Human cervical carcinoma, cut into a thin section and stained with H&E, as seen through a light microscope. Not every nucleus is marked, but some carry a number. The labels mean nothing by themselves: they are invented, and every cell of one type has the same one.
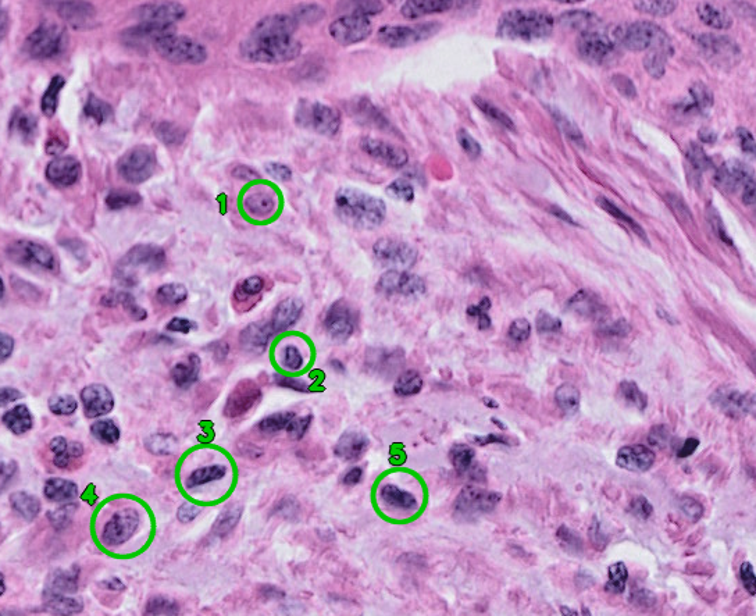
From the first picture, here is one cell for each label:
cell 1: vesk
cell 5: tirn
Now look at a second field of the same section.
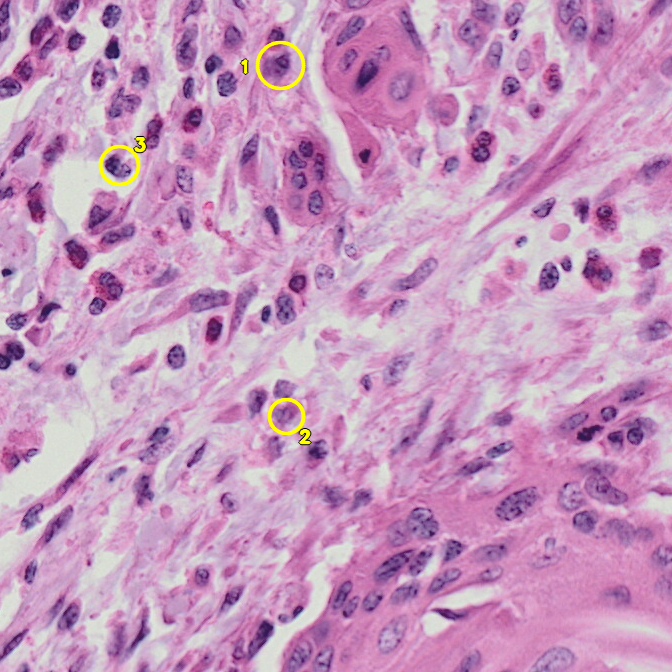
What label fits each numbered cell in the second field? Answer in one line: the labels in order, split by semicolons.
vesk; vesk; tirn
